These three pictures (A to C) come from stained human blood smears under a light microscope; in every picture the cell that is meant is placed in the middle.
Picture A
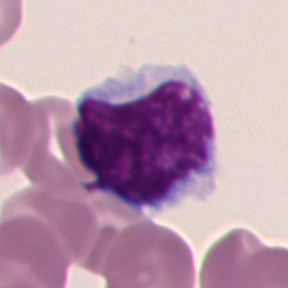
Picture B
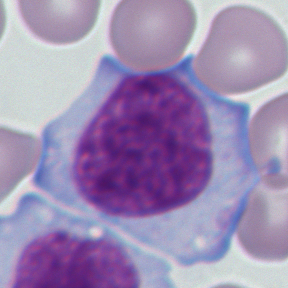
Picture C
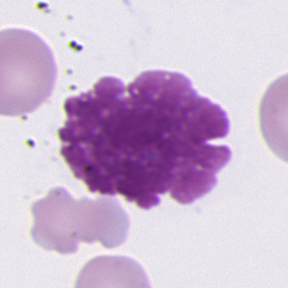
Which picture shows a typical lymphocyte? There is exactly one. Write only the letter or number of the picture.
A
